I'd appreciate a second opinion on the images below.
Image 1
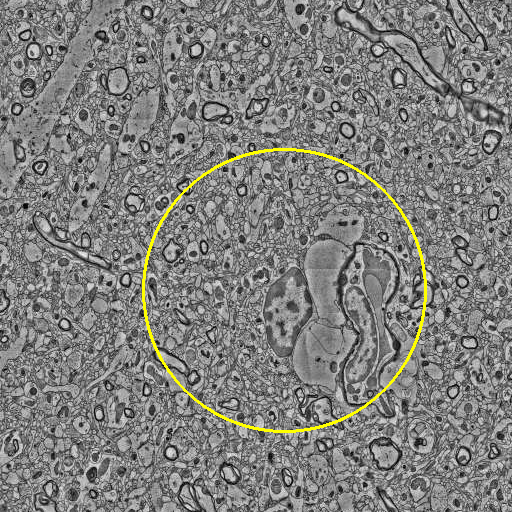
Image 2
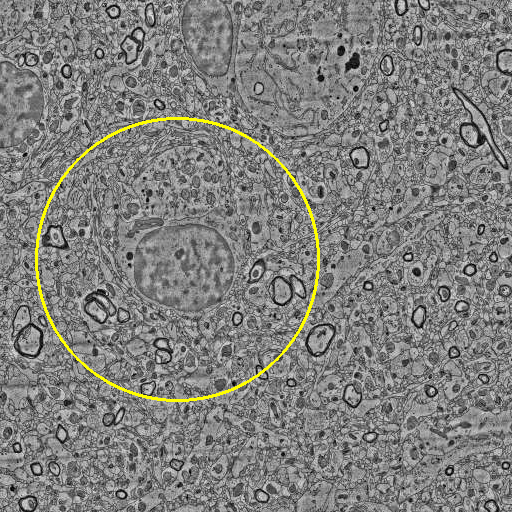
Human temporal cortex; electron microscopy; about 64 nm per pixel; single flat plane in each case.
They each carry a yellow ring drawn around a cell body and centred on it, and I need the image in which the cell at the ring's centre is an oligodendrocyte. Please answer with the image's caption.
Image 2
